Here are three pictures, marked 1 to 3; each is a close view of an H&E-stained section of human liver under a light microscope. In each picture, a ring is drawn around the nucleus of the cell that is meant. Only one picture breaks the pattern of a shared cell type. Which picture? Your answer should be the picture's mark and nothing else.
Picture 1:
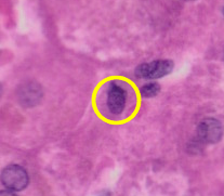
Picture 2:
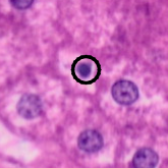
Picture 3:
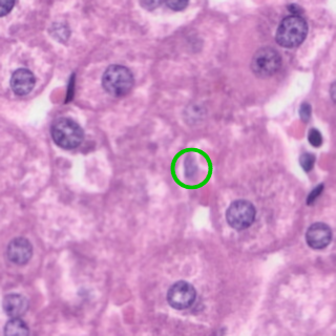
2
